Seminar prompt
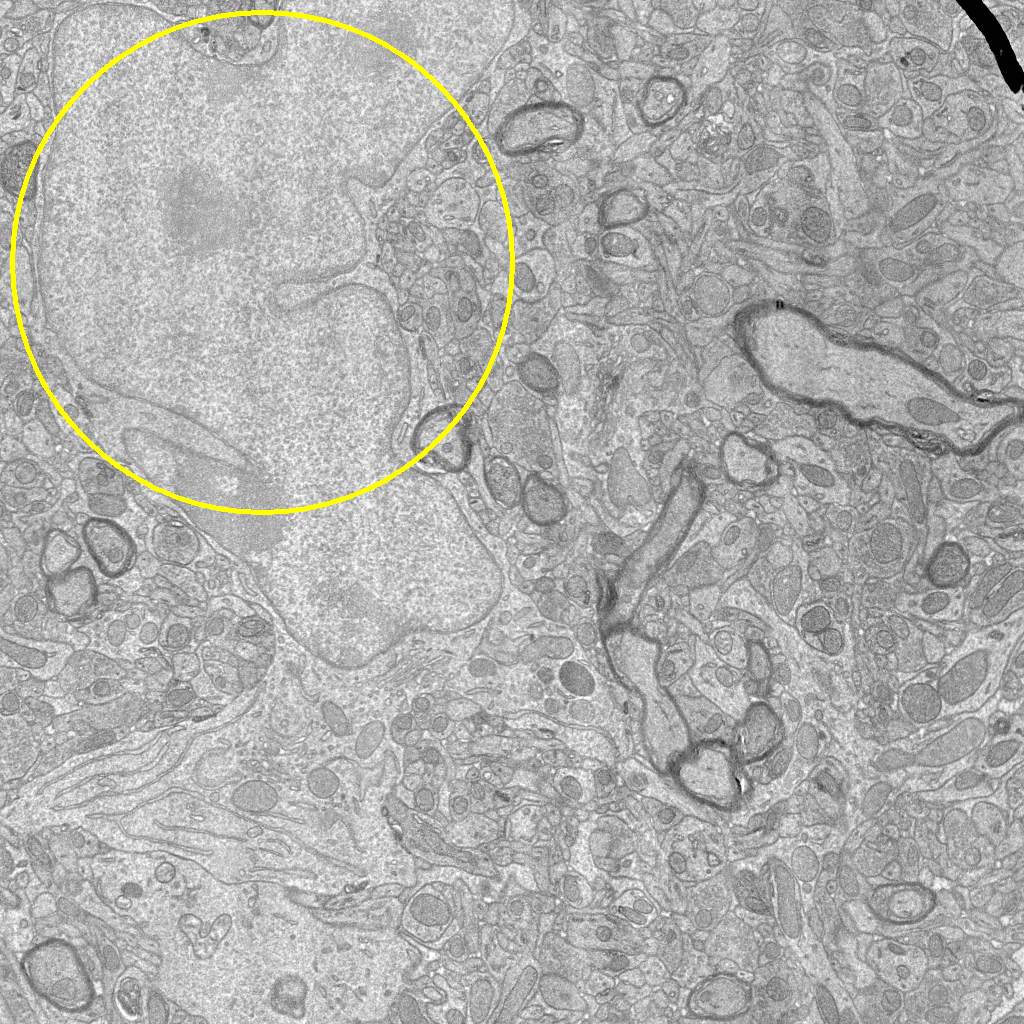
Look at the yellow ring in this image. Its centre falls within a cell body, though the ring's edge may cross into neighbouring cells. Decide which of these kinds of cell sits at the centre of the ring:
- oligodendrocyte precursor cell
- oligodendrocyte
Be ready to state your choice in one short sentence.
The kind of cell at the ring's centre is an oligodendrocyte precursor cell.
